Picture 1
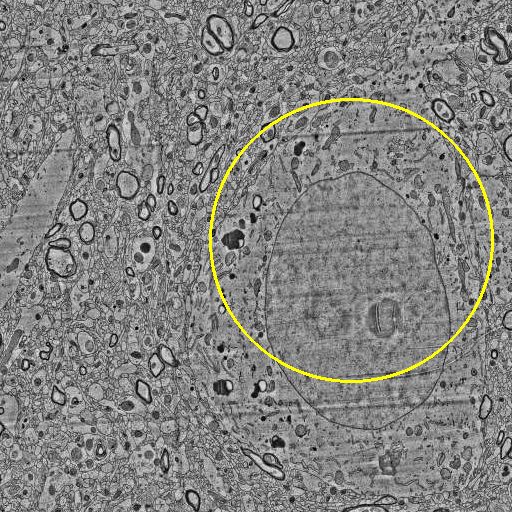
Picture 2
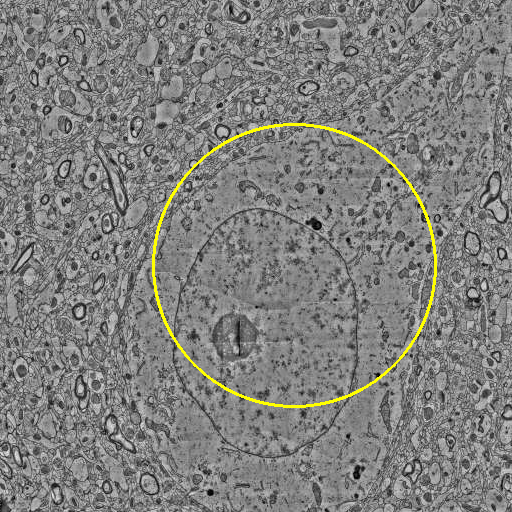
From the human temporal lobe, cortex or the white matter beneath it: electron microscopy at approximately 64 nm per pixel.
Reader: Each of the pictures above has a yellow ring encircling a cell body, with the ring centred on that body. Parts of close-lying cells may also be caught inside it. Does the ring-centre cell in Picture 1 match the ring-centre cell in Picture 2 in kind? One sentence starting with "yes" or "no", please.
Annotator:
Yes, Picture 1 and Picture 2 show ring-centre cells of a single kind.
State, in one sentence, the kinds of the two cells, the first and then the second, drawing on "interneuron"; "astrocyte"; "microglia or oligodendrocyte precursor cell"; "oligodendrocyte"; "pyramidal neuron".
The first and the second cell are each a pyramidal neuron.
